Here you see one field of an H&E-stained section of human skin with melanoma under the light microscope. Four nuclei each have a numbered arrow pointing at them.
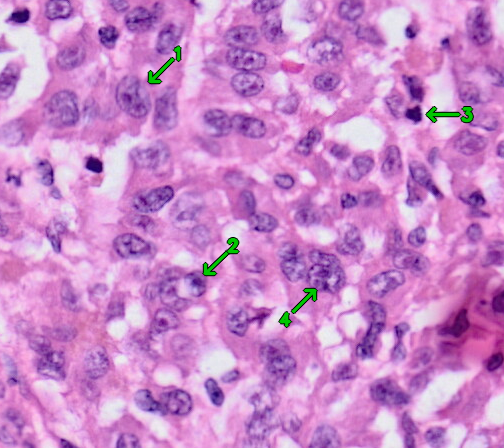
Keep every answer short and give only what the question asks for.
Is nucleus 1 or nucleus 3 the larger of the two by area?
1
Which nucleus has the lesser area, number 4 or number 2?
2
